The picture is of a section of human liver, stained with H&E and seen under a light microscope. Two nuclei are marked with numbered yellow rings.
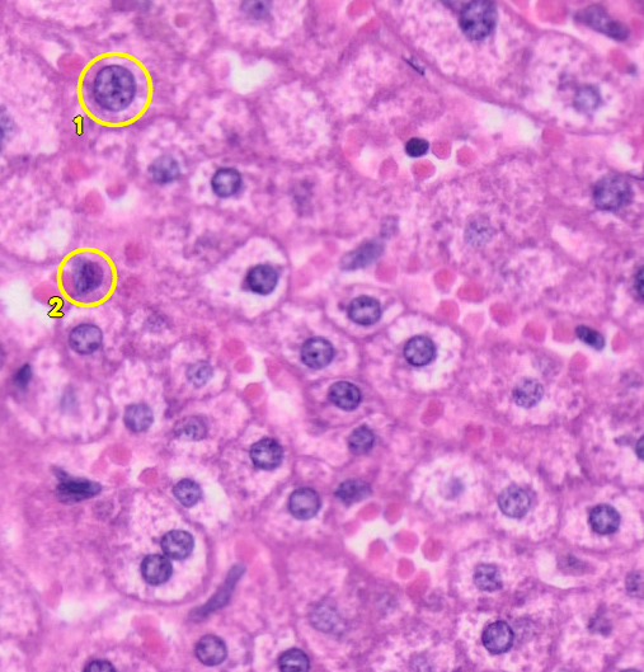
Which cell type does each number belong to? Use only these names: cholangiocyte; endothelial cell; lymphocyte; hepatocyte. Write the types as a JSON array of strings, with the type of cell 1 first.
["hepatocyte", "endothelial cell"]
